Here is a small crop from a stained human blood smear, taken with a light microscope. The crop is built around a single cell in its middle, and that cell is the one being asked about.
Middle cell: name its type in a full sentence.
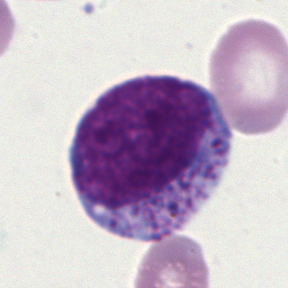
The cell in the middle of this crop is a promyelocyte.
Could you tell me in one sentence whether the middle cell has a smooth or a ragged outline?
Happy to help: the outline is smooth and shows no projections.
